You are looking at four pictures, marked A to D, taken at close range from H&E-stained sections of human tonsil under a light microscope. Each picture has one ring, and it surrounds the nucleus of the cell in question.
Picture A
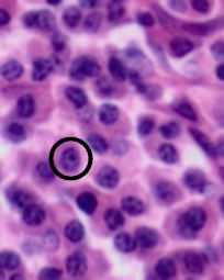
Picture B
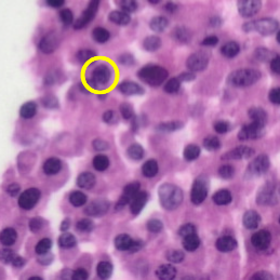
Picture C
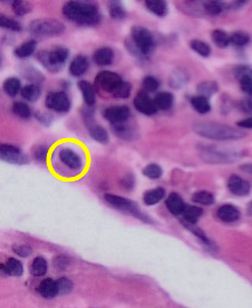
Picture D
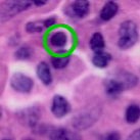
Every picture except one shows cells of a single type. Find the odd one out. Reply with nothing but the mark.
C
